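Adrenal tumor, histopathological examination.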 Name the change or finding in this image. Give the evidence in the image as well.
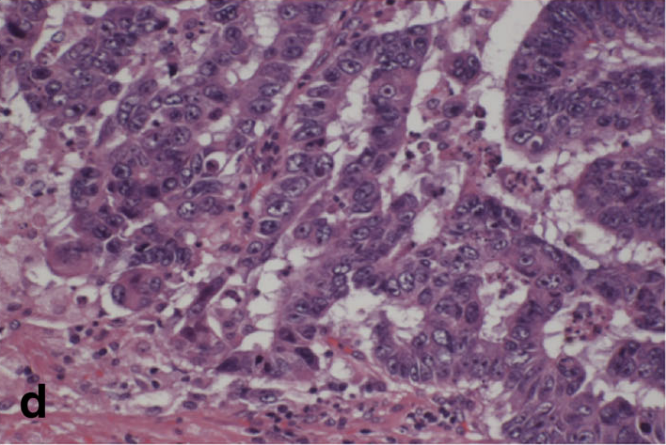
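Adenocarcinoma. Tall columnar cells line elongated gland-like and tubular structures. Nuclei are enlarged, crowded and stratified, many with prominent nucleoli. The cells are arranged back to back with little intervening stroma.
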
